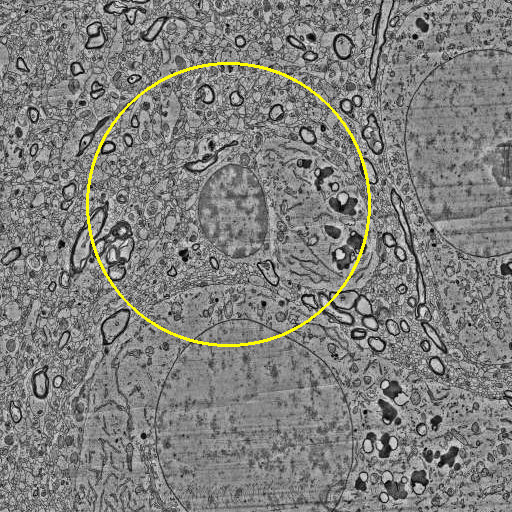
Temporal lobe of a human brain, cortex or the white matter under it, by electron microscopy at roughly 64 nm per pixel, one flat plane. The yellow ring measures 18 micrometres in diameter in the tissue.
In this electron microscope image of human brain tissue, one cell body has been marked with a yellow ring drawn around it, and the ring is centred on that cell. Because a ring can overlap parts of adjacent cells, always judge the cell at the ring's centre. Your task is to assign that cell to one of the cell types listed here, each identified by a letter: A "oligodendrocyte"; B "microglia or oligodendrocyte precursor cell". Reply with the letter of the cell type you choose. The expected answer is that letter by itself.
A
